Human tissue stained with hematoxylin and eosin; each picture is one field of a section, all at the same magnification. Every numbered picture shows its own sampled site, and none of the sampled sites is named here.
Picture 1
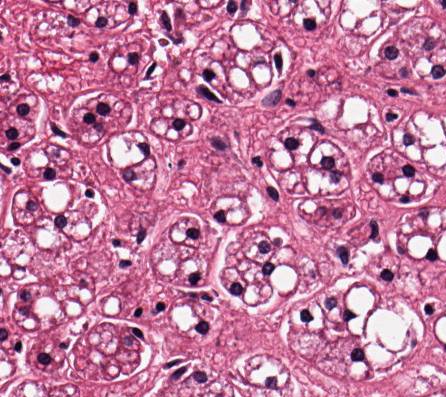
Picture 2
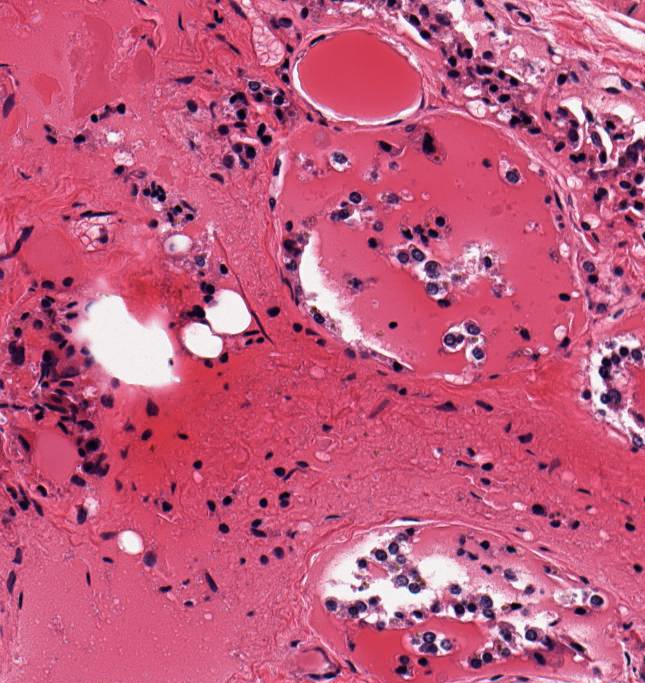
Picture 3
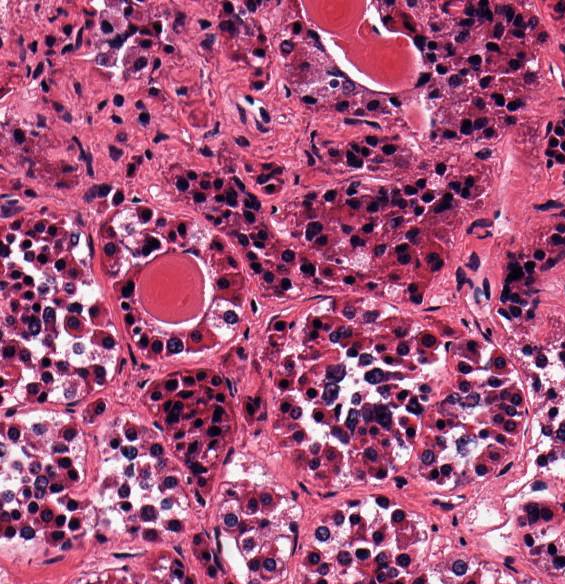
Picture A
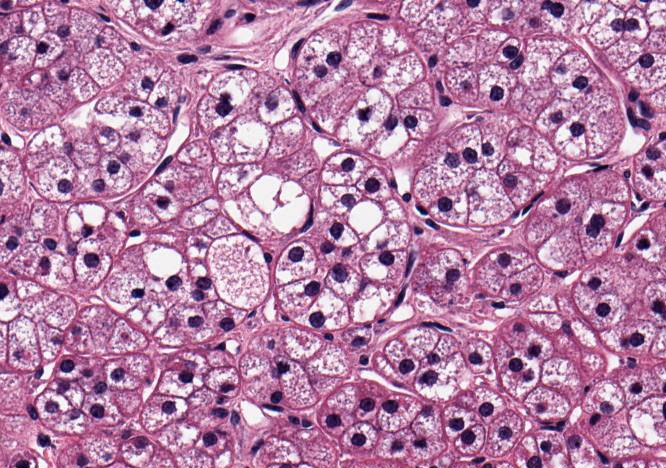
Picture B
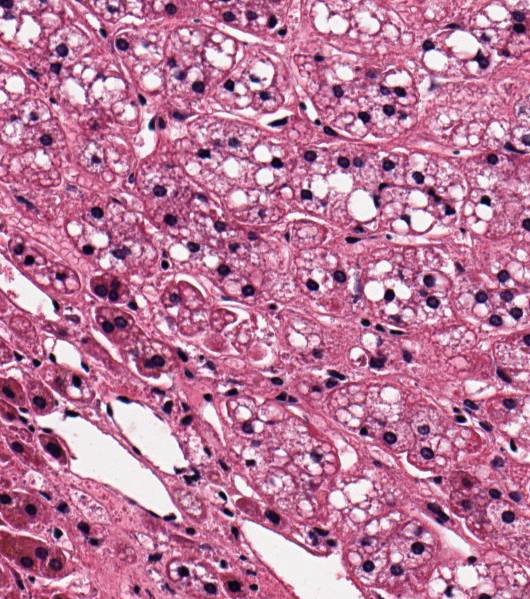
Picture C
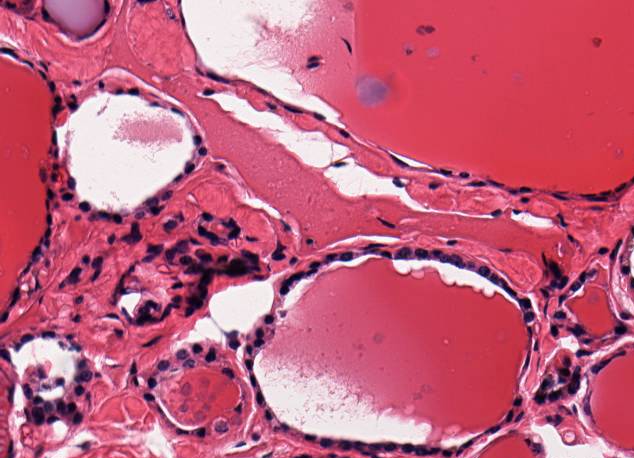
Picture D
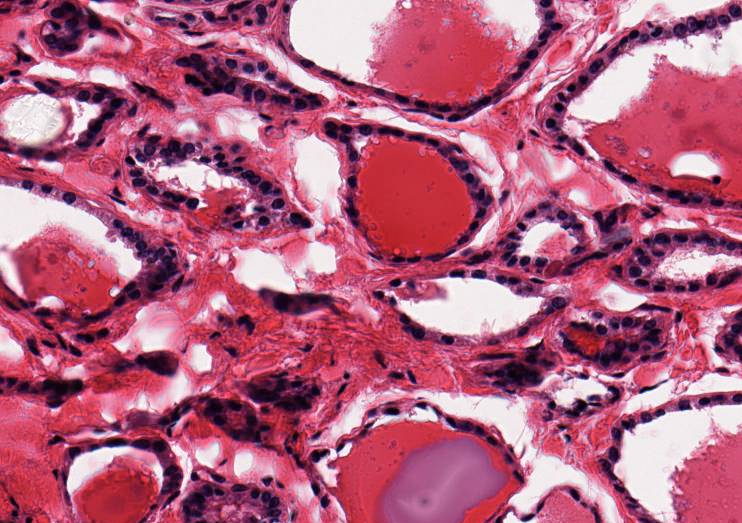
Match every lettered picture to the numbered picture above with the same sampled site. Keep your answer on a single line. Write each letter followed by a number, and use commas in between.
A 1, B 1, C 2, D 2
